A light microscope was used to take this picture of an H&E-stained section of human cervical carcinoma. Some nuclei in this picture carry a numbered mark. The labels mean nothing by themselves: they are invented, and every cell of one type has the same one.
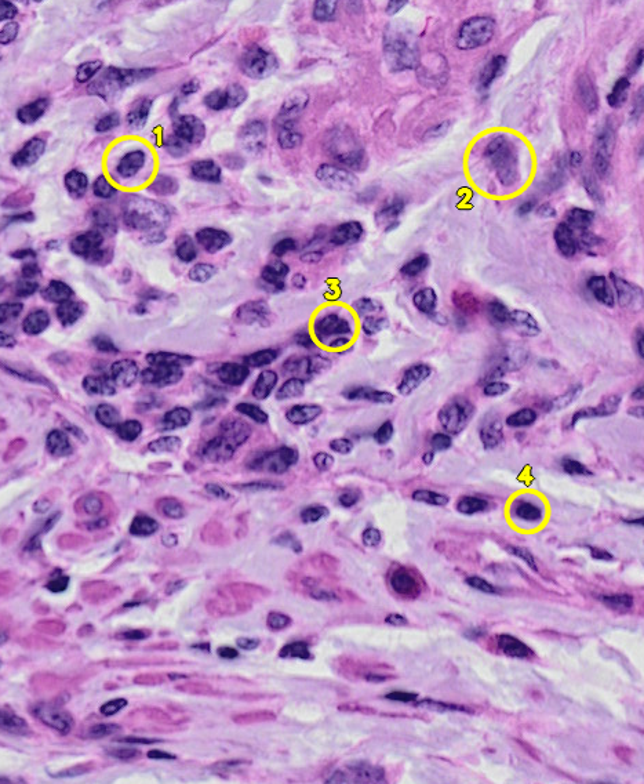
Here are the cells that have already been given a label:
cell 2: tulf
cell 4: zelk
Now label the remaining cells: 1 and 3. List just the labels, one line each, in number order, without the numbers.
zelk
zelk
